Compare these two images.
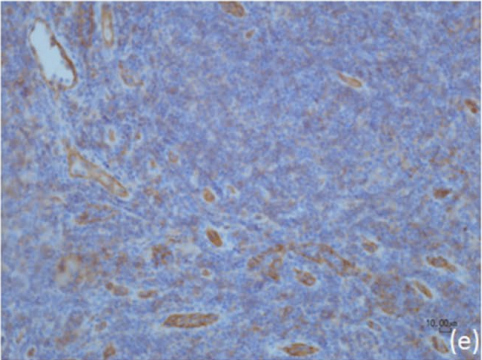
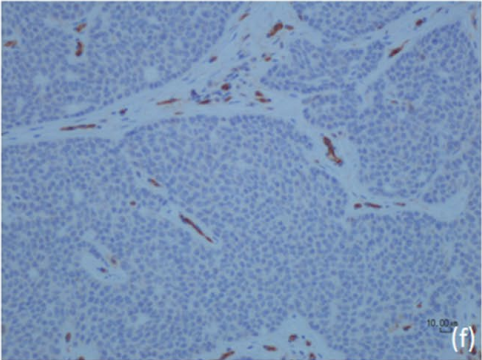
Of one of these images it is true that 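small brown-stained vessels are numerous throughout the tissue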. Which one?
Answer: The first image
